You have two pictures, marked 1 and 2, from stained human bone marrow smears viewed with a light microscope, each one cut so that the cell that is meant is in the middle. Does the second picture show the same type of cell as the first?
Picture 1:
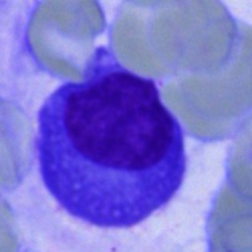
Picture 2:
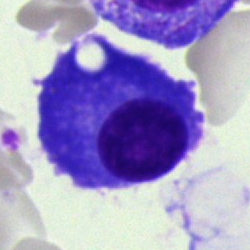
yes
